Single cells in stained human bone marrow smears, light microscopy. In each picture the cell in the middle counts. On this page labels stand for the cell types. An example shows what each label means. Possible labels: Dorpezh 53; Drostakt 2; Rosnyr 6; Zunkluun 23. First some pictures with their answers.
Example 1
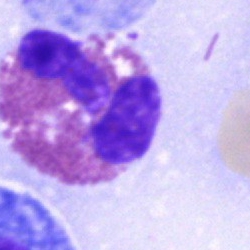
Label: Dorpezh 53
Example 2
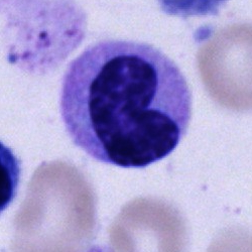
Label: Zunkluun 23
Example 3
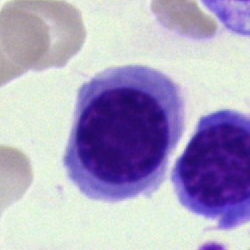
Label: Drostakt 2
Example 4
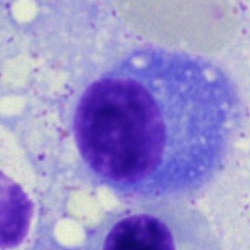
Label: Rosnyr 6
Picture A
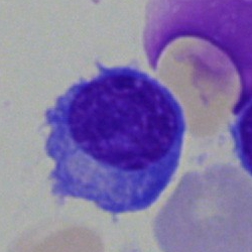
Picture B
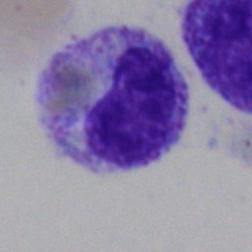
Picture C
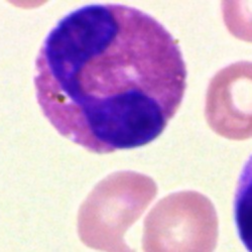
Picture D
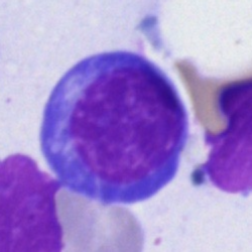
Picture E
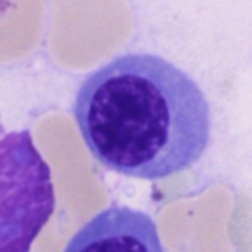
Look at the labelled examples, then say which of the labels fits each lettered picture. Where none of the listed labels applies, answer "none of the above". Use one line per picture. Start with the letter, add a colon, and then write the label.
A: Rosnyr 6
B: Zunkluun 23
C: Dorpezh 53
D: Drostakt 2
E: Drostakt 2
